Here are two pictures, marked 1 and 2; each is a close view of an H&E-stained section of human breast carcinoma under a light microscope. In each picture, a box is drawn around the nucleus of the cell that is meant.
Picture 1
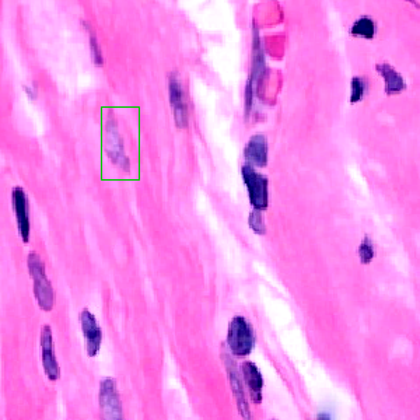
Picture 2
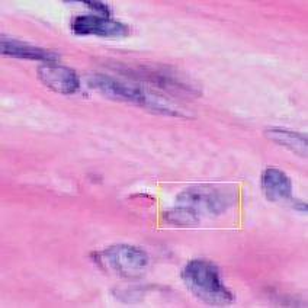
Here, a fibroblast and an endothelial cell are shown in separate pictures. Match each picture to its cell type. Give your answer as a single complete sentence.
Picture 2 shows an endothelial cell, while picture 1 shows a fibroblast.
